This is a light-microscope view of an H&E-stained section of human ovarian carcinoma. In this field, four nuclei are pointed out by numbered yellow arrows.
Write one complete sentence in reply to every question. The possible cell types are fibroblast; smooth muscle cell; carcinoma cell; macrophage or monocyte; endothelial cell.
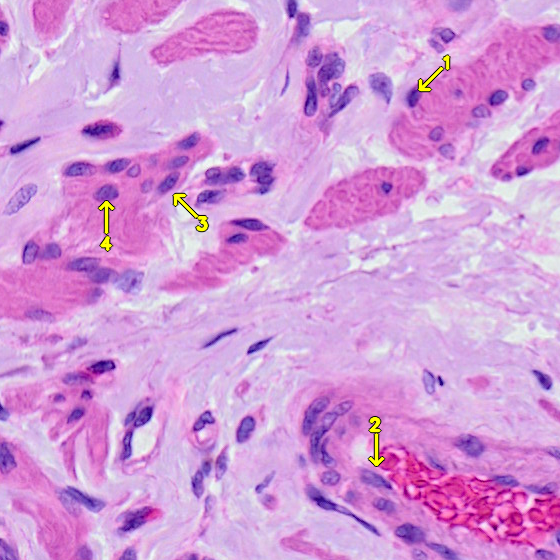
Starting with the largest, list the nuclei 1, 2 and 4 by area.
By area, largest first, they run 2, 4, 1.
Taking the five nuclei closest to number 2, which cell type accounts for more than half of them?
Smooth muscle cells account for more than half of the five nuclei nearest to number 2.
